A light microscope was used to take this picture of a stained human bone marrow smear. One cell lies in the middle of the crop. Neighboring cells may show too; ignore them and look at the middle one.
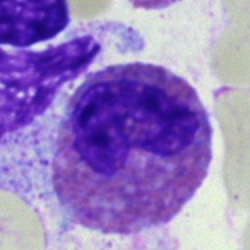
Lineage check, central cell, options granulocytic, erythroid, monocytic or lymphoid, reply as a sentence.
Designated granulocytic in lineage is the cell at the center of the crop.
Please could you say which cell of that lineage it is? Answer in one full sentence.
The cell in the exact centre of the crop is an eosinophil.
